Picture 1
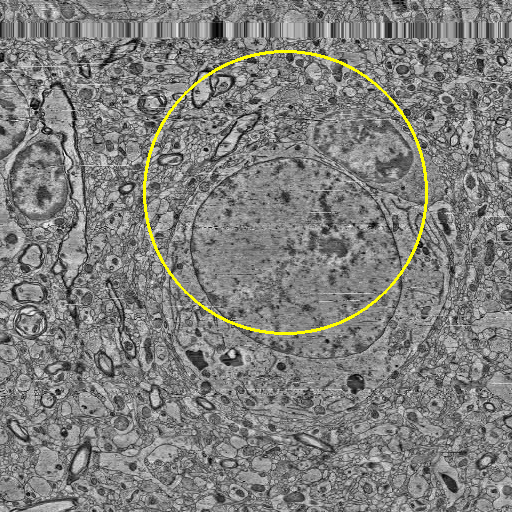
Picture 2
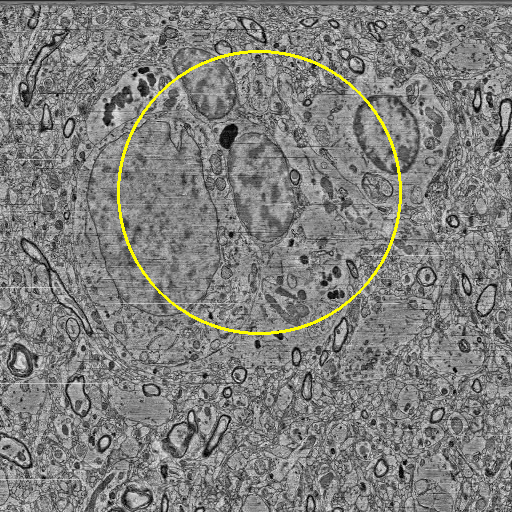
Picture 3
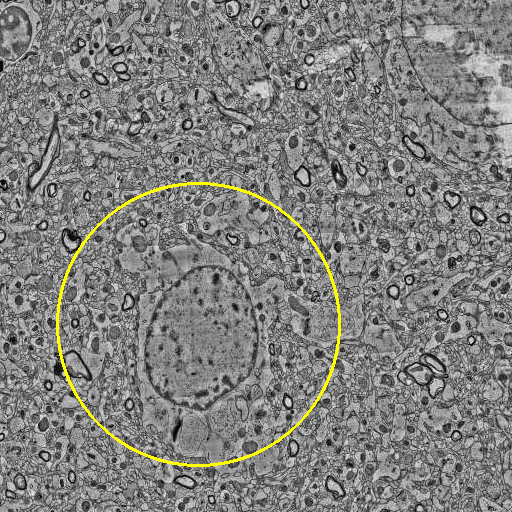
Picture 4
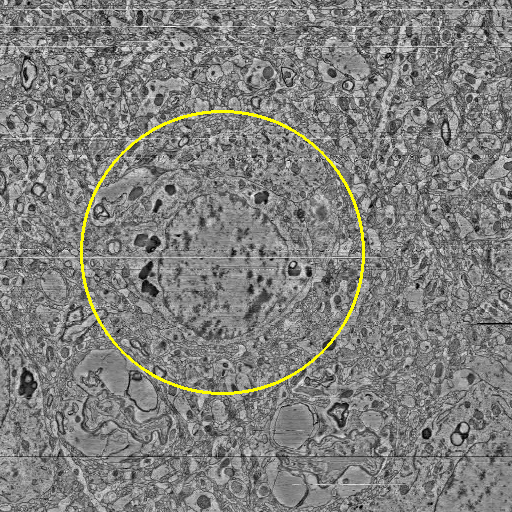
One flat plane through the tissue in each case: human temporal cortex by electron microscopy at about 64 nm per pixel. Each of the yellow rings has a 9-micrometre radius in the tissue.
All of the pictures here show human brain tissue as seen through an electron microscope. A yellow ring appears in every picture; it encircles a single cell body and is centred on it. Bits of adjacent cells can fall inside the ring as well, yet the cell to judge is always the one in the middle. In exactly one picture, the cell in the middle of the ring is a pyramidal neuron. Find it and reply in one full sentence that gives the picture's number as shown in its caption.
Of all the pictures, picture 1 has the right cell at the centre of its ring.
